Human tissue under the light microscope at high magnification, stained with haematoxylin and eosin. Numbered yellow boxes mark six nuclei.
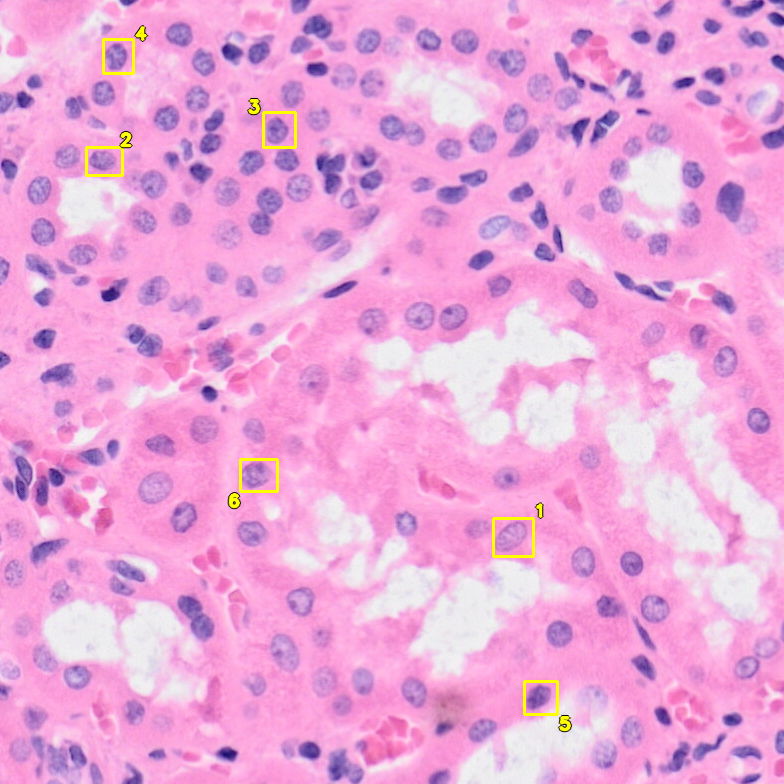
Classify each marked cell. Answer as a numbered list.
1. proximal tubule cell
2. loop of Henle or distal tubule cell
3. loop of Henle or distal tubule cell
4. loop of Henle or distal tubule cell
5. loop of Henle or distal tubule cell
6. proximal tubule cell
